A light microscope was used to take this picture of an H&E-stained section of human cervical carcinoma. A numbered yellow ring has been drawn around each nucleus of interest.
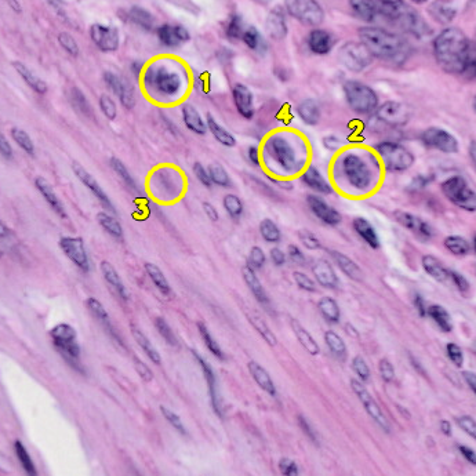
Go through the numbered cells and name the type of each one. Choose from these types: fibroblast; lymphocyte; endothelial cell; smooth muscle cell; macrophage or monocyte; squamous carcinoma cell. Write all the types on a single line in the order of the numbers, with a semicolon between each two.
lymphocyte; lymphocyte; smooth muscle cell; lymphocyte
